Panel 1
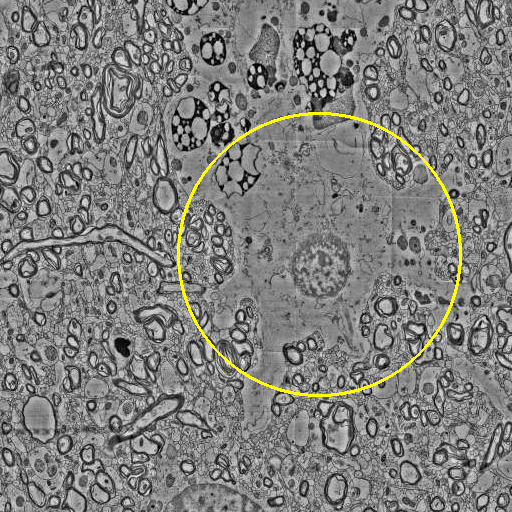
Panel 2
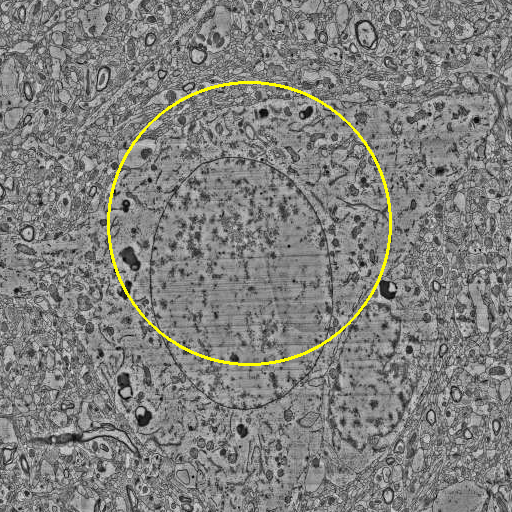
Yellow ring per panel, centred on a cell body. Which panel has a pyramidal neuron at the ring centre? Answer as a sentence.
Panel 2 shows it at the ring centre.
